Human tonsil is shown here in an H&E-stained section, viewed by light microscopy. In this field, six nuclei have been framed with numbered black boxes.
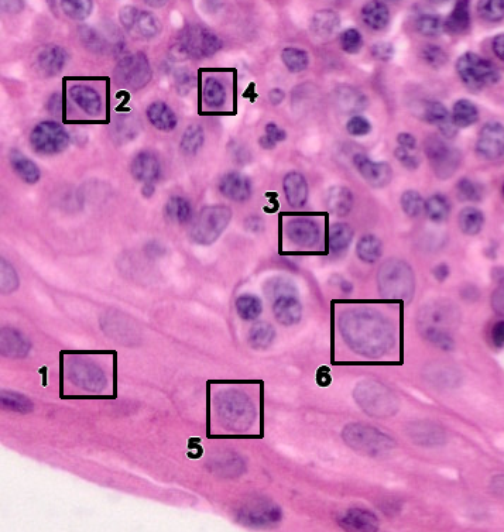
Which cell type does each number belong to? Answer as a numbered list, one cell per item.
1. squamous epithelial cell
2. plasma cell
3. plasma cell
4. plasma cell
5. squamous epithelial cell
6. squamous epithelial cell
